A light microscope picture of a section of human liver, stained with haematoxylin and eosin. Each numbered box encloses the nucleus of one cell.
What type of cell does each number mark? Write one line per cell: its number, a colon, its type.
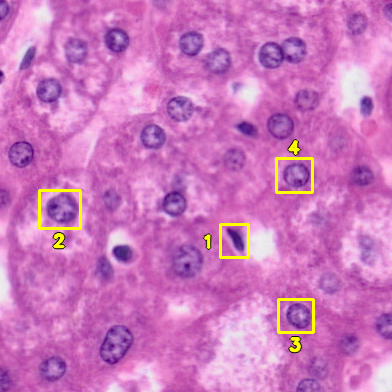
1: endothelial cell
2: hepatocyte
3: hepatocyte
4: hepatocyte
